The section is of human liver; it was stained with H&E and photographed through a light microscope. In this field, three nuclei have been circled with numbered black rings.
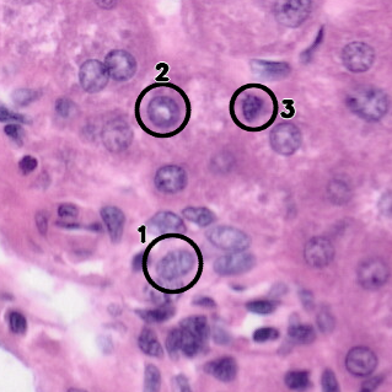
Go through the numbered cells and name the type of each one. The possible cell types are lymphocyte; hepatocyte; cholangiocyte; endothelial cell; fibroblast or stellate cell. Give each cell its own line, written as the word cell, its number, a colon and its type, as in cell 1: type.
cell 1: cholangiocyte
cell 2: hepatocyte
cell 3: fibroblast or stellate cell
